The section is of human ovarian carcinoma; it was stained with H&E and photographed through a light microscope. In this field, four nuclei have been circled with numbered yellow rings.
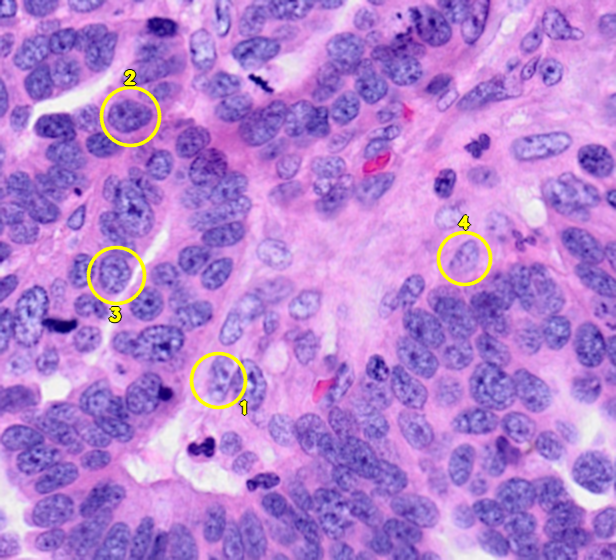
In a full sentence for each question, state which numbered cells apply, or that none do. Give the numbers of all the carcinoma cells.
The cells with the numbers 2 and 3 are carcinoma cells.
